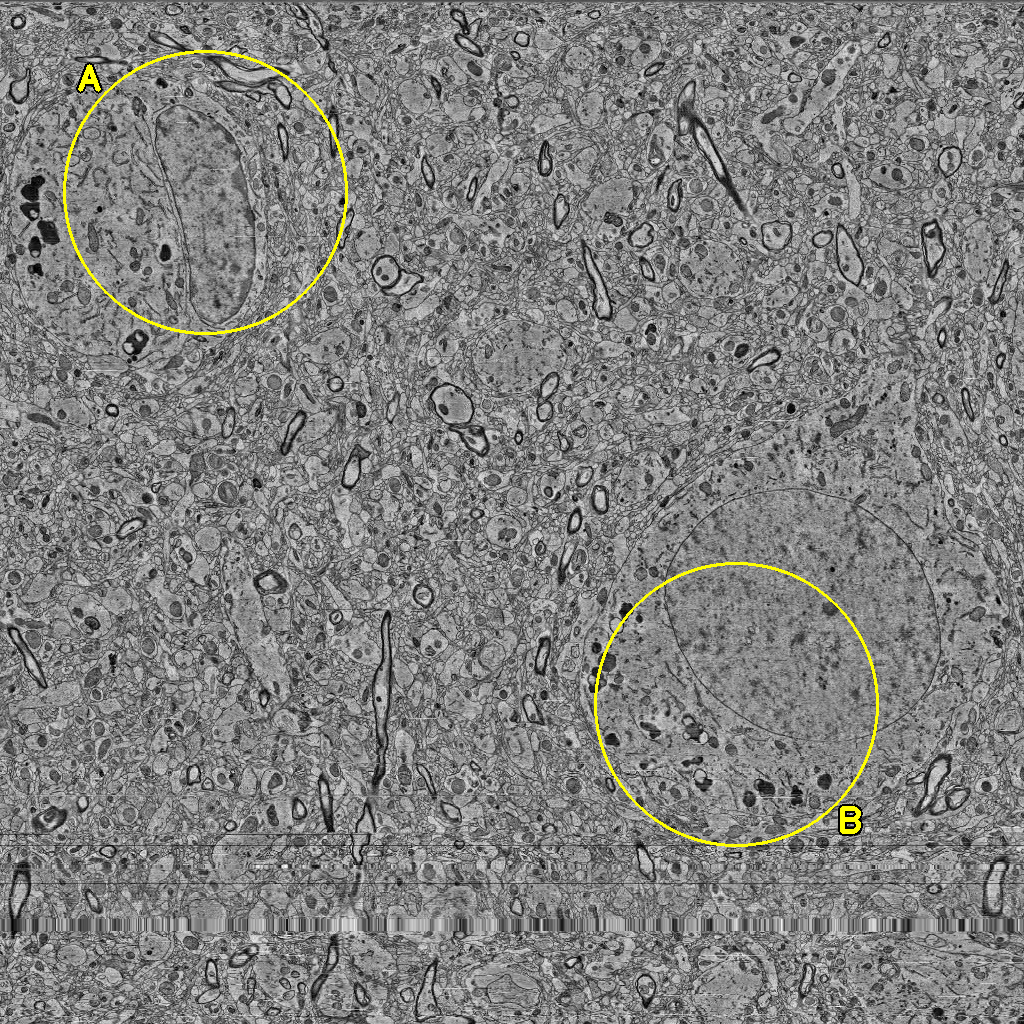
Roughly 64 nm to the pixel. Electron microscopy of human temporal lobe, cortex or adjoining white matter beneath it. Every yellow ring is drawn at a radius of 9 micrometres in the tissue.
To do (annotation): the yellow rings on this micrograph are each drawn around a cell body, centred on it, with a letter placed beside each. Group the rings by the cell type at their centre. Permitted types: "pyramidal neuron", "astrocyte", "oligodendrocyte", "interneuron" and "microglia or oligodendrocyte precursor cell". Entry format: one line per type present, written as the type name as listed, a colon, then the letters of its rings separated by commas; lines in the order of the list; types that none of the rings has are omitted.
pyramidal neuron: B
microglia or oligodendrocyte precursor cell: A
